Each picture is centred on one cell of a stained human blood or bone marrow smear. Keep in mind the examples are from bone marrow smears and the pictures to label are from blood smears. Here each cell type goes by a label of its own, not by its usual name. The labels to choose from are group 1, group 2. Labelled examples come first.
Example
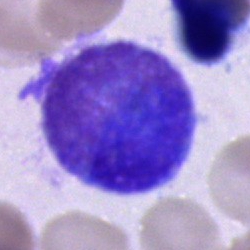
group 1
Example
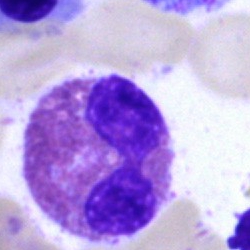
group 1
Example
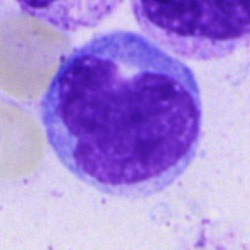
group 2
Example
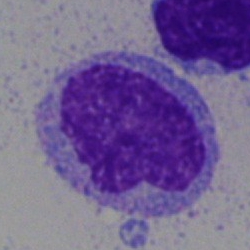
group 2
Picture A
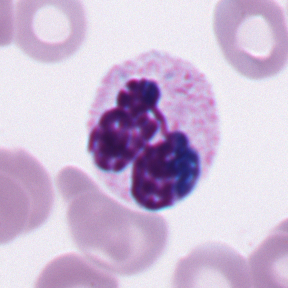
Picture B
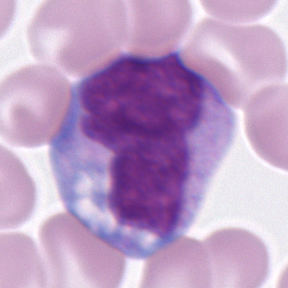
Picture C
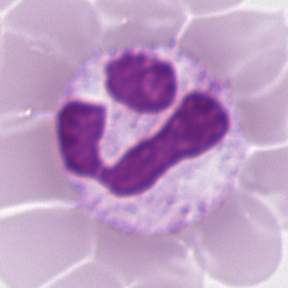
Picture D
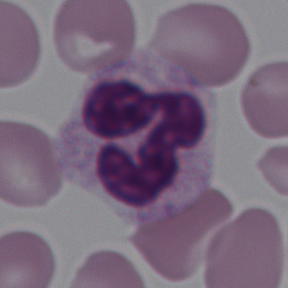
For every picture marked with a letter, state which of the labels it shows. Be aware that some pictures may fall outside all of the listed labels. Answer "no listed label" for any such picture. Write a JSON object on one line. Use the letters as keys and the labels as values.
{"A": "no listed label", "B": "group 2", "C": "no listed label", "D": "no listed label"}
